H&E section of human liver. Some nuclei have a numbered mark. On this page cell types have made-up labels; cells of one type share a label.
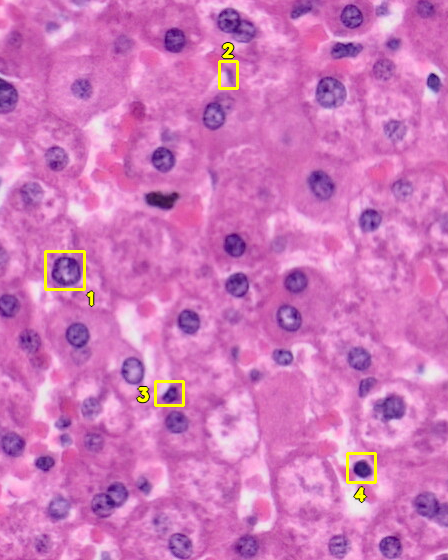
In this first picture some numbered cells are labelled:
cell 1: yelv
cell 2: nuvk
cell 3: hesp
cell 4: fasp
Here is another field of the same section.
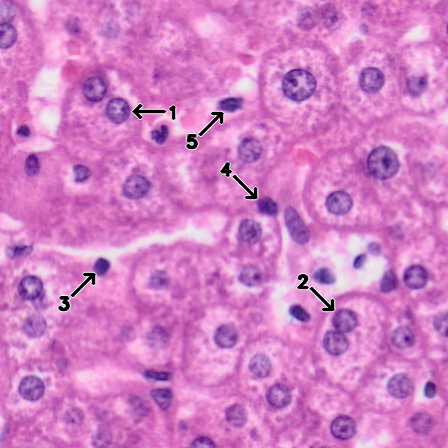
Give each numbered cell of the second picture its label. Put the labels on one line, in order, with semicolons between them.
yelv; yelv; fasp; hesp; fasp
